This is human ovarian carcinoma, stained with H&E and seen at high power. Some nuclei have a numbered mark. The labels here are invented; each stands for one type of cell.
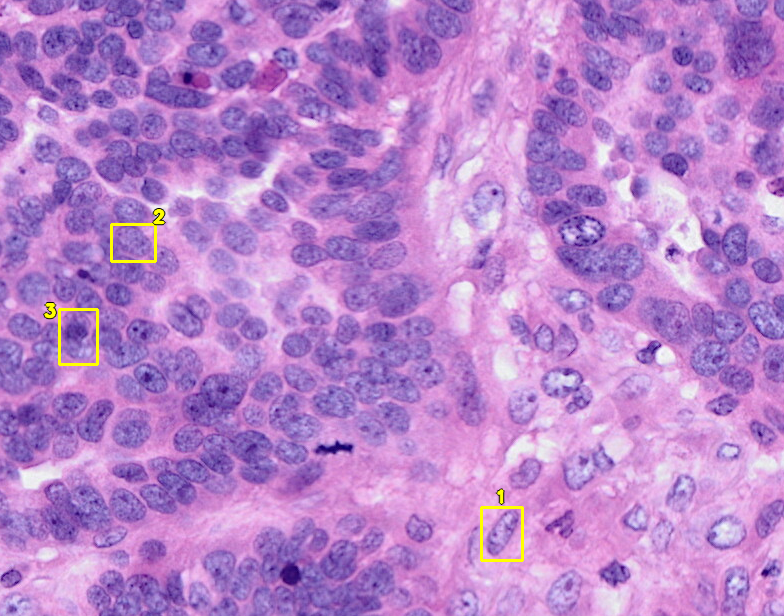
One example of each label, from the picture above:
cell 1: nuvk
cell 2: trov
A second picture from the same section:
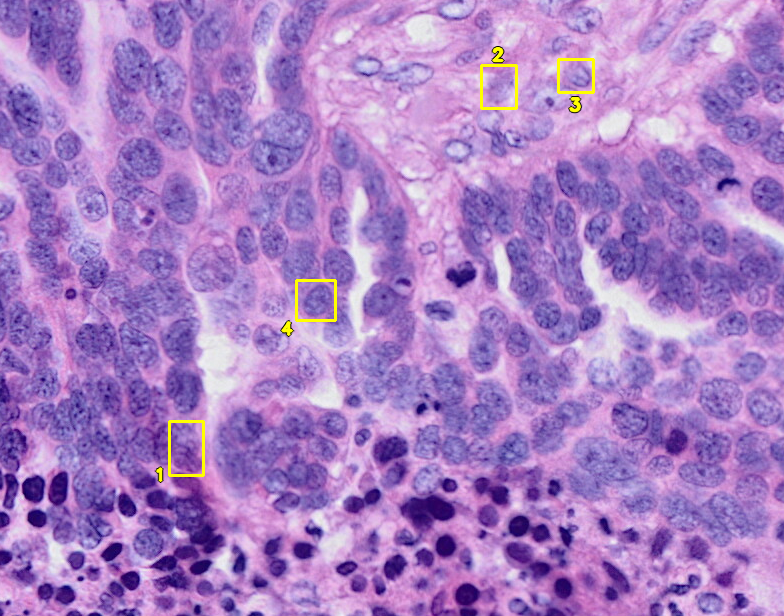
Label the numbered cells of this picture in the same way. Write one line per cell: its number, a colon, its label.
1: trov
2: nuvk
3: nuvk
4: trov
